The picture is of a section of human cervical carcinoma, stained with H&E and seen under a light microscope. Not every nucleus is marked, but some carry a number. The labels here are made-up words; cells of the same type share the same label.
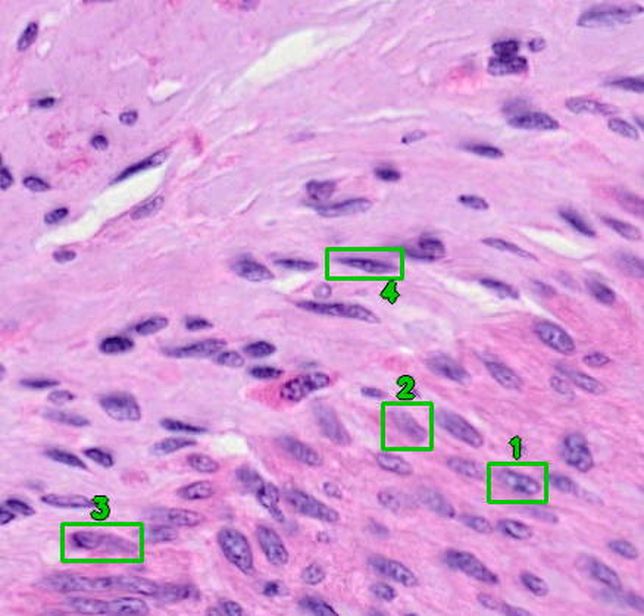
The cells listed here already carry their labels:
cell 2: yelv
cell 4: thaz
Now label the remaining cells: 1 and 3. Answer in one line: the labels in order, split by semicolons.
yelv; yelv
